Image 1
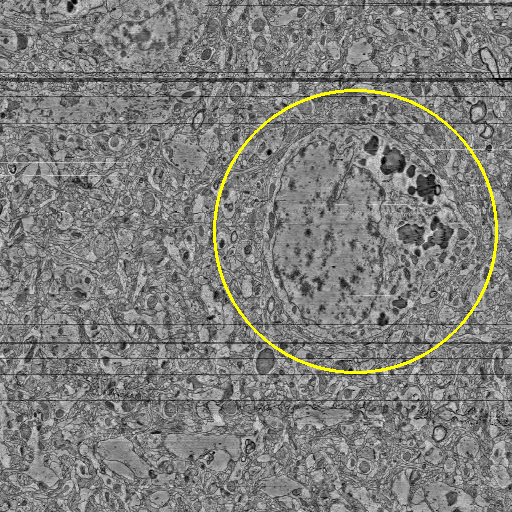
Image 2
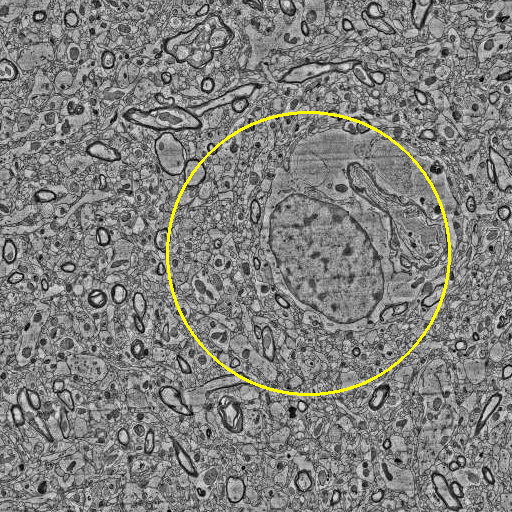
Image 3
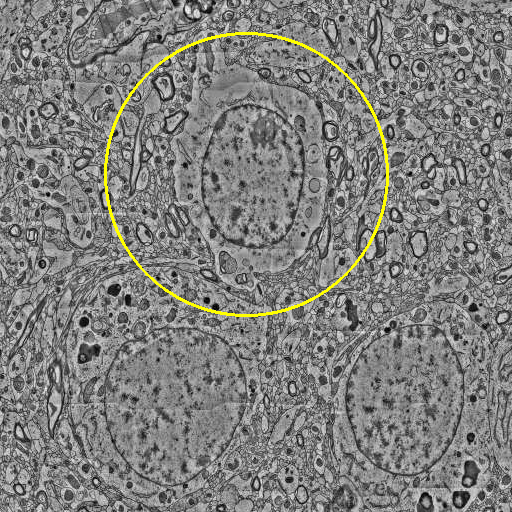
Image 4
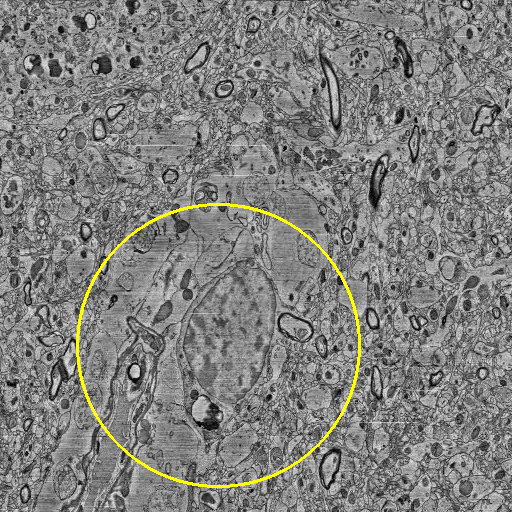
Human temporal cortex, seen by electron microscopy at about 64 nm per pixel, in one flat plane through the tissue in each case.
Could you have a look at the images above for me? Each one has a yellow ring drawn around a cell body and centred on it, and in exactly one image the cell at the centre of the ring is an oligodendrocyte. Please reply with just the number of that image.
4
